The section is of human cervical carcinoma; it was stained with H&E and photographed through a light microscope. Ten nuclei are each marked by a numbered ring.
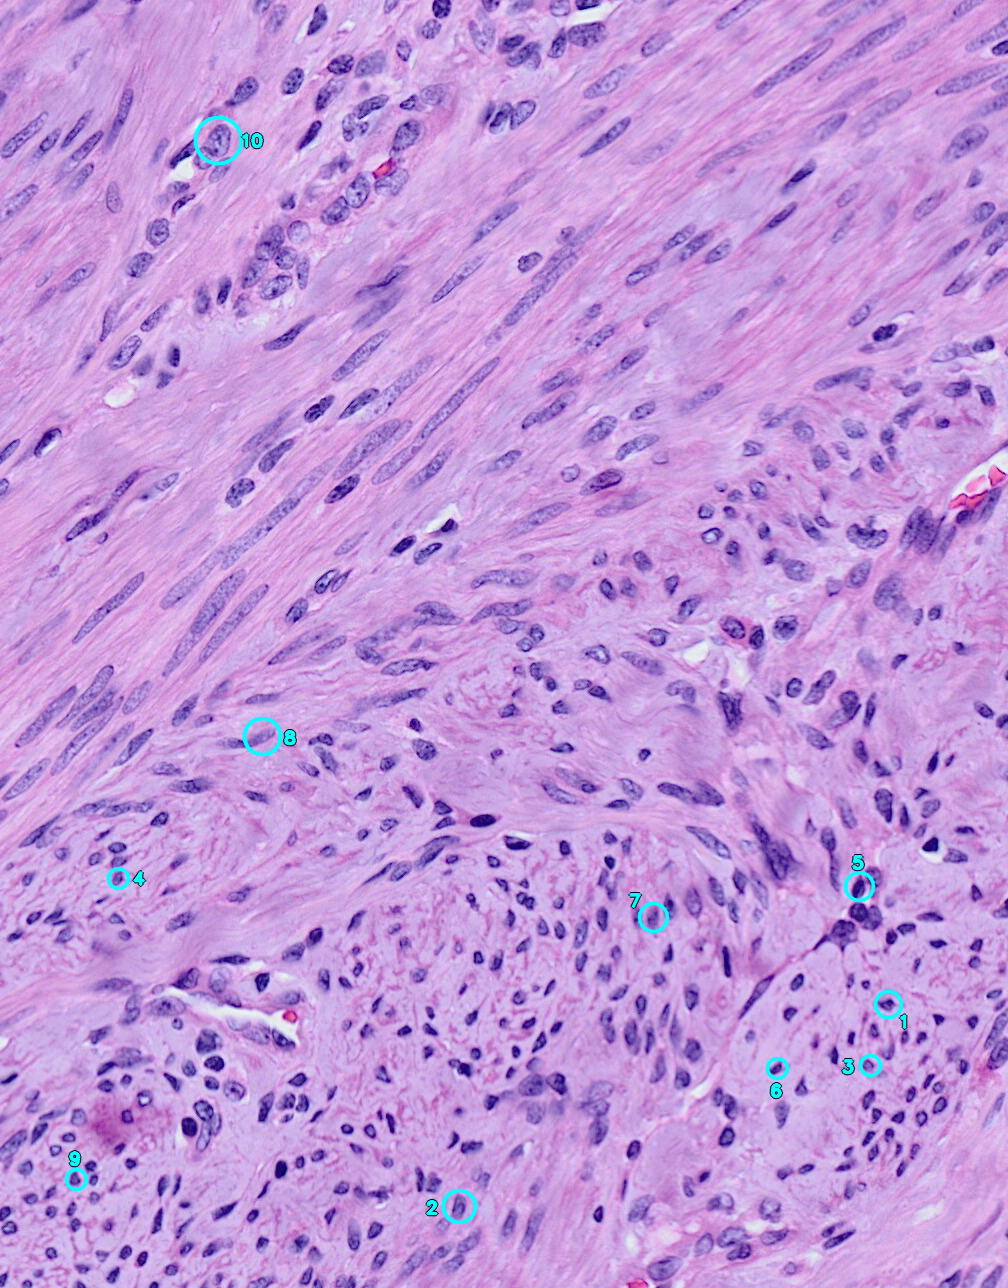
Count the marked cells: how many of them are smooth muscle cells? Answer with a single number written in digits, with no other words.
6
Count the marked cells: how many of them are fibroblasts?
2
